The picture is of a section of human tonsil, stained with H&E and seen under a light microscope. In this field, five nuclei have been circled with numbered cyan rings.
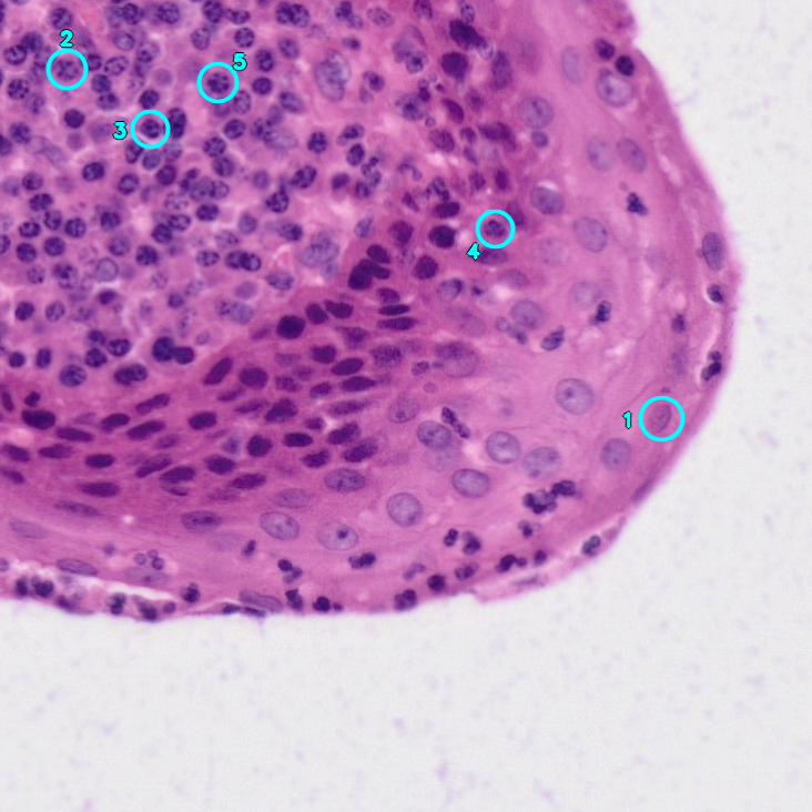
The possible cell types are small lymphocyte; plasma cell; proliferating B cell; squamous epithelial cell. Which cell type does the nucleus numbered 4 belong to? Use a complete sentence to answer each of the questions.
As for number 4, that cell is a squamous epithelial cell.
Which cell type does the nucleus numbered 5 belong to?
The nucleus marked 5 is the nucleus of a plasma cell.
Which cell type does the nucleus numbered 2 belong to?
Cell 2, among those numbered, is a plasma cell.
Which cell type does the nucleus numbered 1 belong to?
That cell with number 1 is a squamous epithelial cell.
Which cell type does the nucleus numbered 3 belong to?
Within this field of view, the cell labelled 3 is a plasma cell.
